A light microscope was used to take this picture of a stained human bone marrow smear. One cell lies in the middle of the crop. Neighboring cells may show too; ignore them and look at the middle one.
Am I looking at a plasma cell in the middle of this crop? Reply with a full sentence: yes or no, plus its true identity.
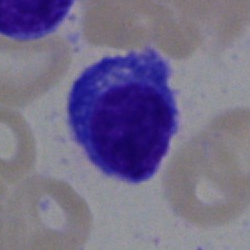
Yes, the cell at the midpoint of the crop is a plasma cell.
